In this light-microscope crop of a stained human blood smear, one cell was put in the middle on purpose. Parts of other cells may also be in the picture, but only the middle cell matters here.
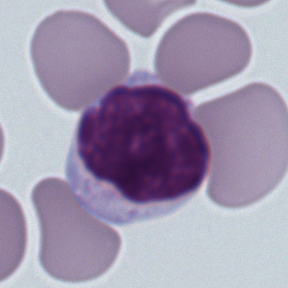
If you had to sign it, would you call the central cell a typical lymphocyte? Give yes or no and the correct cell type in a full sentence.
Yes, the cell centred in this crop is a typical lymphocyte.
